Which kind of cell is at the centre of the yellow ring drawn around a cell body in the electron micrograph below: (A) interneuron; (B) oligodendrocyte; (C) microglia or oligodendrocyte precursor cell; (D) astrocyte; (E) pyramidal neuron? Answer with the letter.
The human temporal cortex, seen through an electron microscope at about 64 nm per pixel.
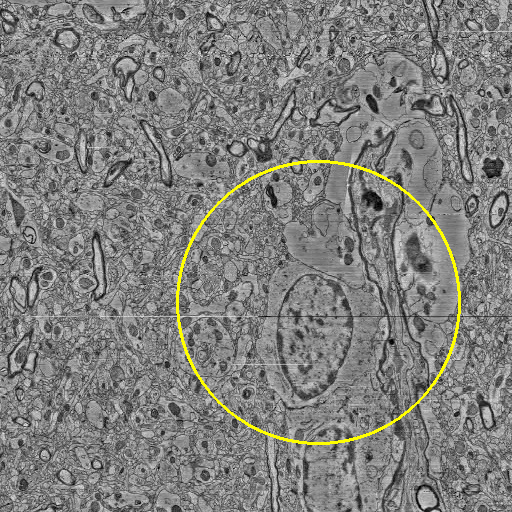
C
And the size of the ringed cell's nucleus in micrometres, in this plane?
The nucleus measures about 8 by 5 micrometres, so it is clearly longer than it is wide in this plane.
